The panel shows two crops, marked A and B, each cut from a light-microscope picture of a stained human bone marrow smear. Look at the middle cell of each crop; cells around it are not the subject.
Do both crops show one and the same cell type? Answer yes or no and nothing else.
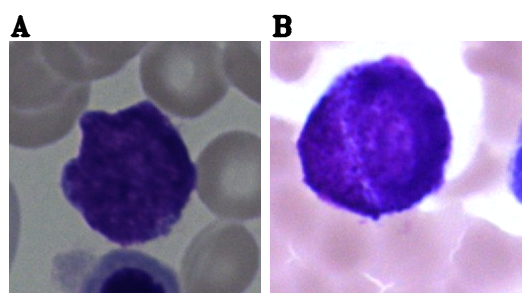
yes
